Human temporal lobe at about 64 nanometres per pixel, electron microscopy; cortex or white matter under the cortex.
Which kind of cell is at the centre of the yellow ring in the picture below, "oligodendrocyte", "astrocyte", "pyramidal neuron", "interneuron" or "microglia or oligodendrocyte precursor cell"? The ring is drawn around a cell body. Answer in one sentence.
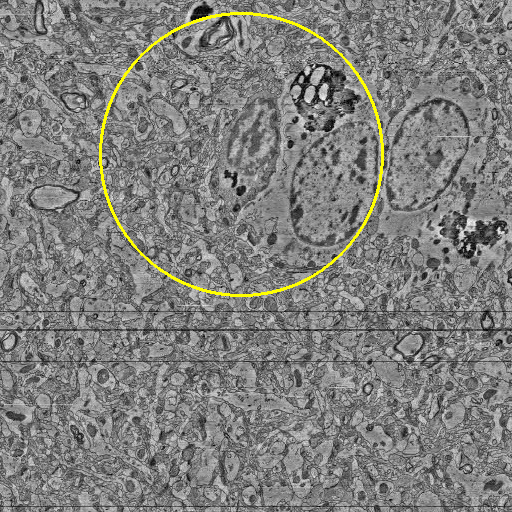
The ring's central cell is an oligodendrocyte.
